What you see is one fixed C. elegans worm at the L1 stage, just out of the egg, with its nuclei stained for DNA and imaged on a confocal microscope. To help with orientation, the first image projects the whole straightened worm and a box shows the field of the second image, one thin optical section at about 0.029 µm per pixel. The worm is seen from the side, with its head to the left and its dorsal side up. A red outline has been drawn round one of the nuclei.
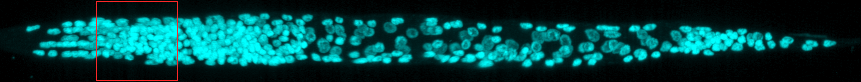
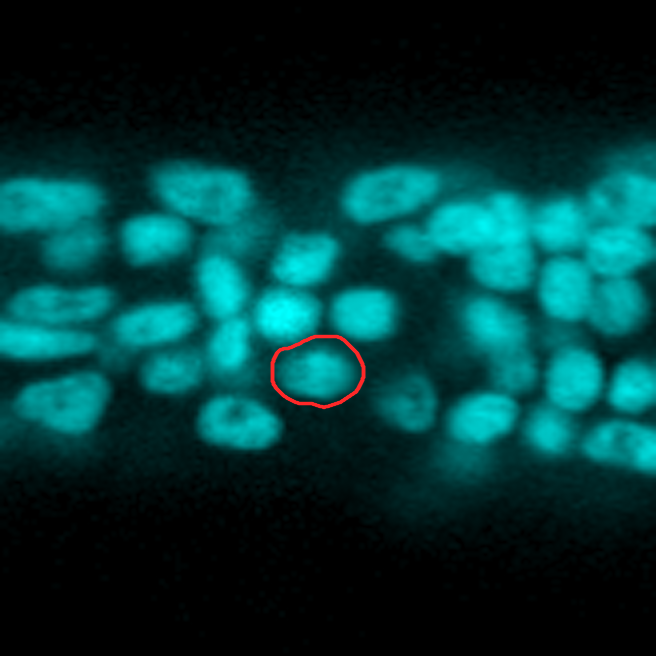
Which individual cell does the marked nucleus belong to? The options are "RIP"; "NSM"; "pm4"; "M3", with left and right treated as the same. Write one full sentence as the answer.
This is the nucleus of pm4, a pharyngeal muscle cell.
